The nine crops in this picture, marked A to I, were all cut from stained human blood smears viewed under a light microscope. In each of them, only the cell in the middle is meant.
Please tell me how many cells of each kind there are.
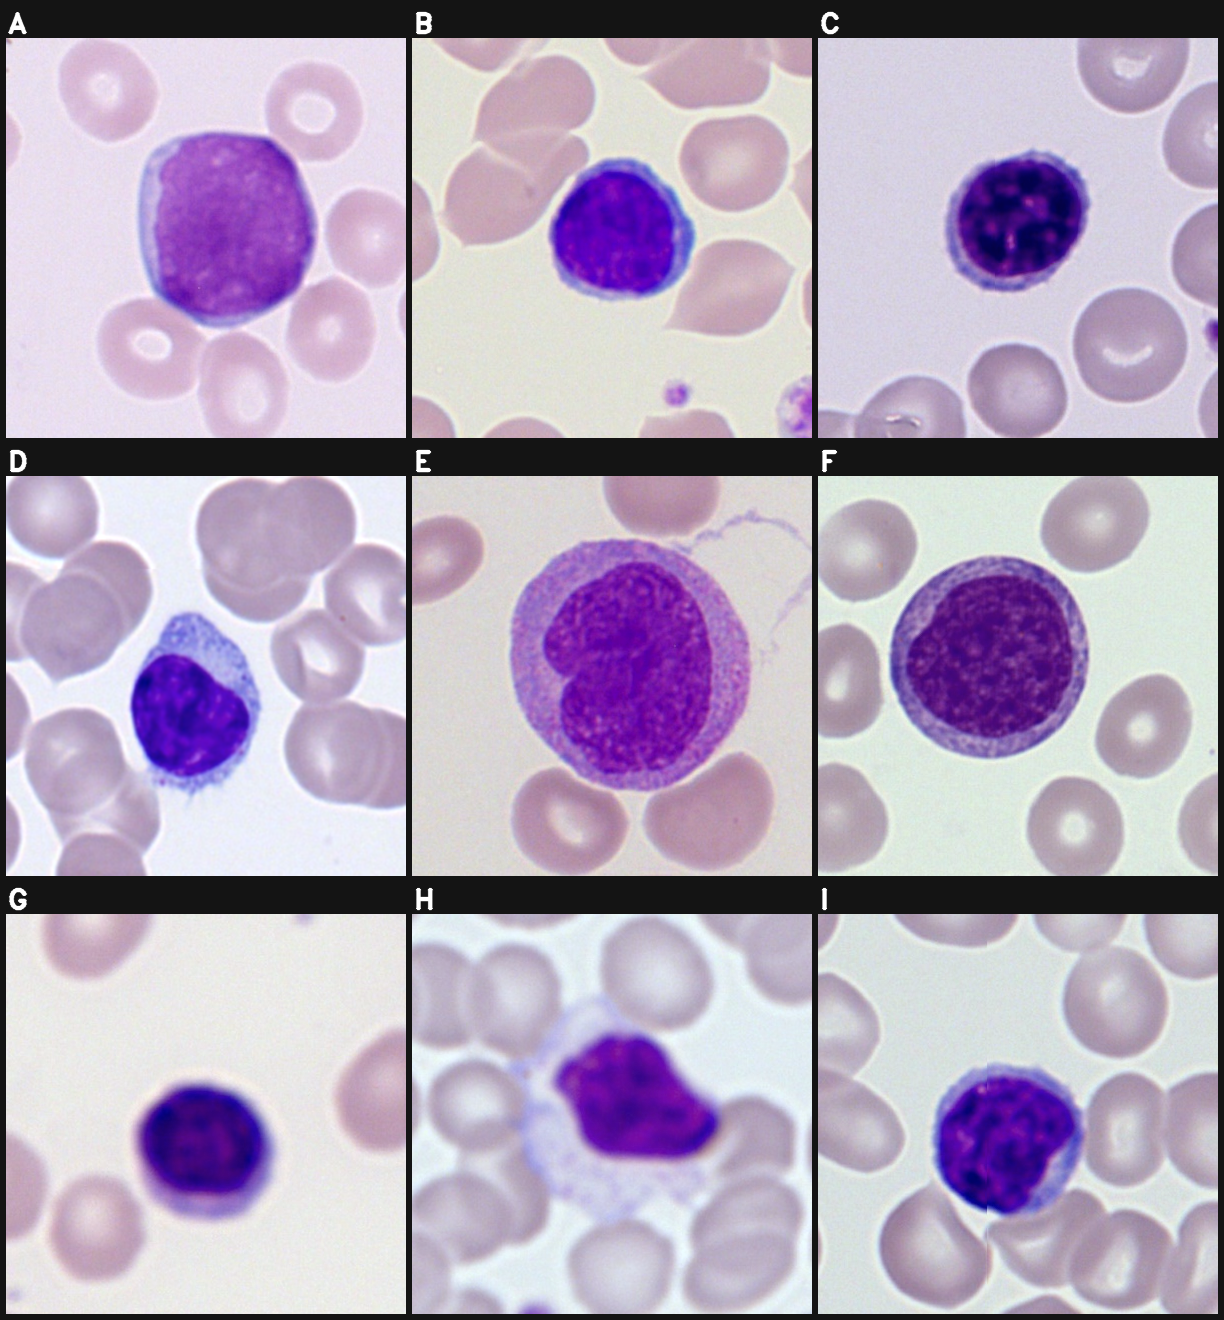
lymphocyte: 6
blast: 3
